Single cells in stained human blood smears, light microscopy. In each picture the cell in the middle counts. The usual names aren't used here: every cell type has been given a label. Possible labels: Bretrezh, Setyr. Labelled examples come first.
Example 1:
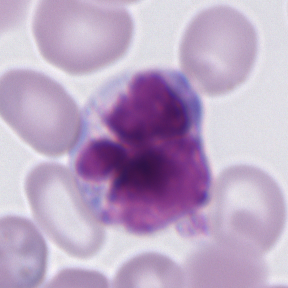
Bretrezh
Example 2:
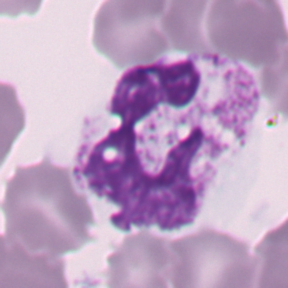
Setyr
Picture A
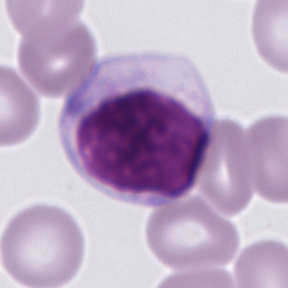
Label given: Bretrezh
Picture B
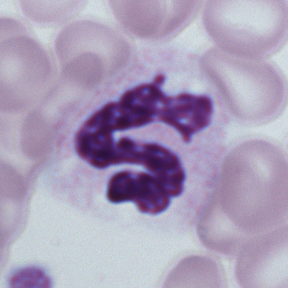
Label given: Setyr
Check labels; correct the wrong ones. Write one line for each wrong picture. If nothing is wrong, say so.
All correct.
